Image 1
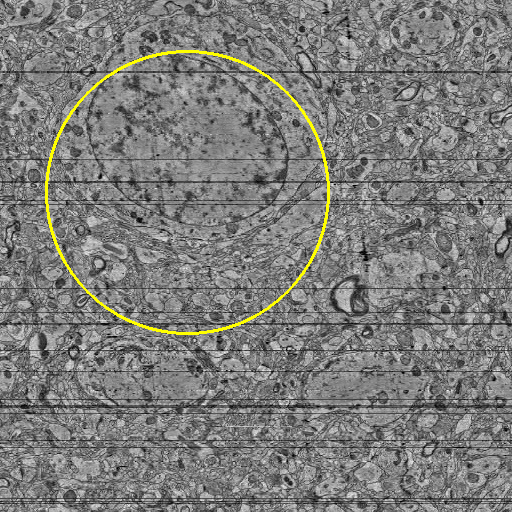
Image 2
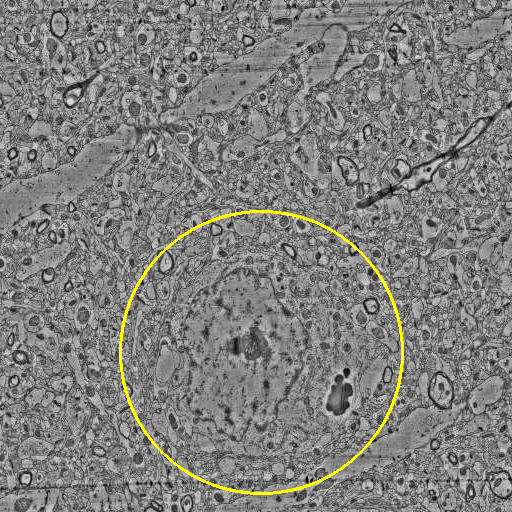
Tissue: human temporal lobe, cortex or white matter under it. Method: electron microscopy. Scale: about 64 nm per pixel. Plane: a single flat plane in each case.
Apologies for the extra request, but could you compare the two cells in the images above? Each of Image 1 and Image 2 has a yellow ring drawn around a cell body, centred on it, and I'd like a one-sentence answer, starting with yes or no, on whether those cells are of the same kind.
No, the two cells are of two kinds.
